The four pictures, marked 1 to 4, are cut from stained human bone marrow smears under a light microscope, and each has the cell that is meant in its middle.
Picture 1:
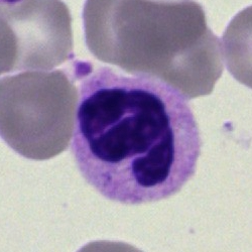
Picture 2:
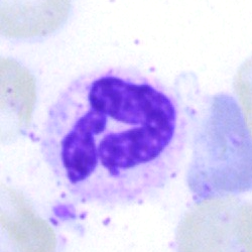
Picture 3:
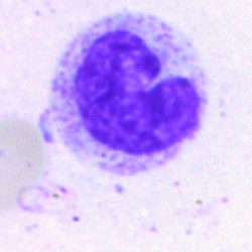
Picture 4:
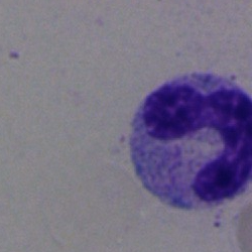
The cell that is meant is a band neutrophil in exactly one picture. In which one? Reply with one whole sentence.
The cell in picture 3 is the band neutrophil.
